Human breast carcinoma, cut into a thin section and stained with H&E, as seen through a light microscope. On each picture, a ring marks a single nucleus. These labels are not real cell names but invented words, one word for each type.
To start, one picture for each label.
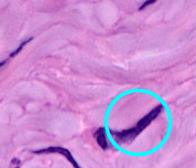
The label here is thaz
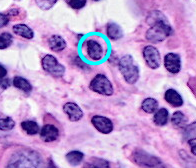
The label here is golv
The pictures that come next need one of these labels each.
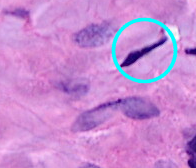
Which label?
thaz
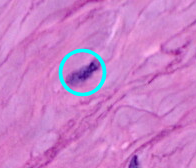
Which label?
thaz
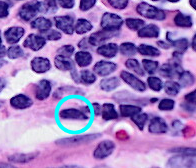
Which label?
golv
